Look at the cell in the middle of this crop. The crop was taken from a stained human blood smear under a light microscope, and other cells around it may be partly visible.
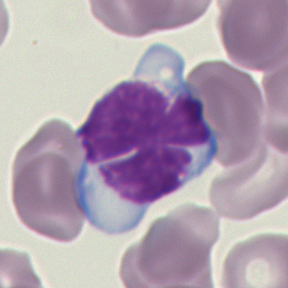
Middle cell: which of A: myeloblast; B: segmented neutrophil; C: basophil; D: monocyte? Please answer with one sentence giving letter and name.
Identification: the cell in the middle is a myeloblast, matching option A.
